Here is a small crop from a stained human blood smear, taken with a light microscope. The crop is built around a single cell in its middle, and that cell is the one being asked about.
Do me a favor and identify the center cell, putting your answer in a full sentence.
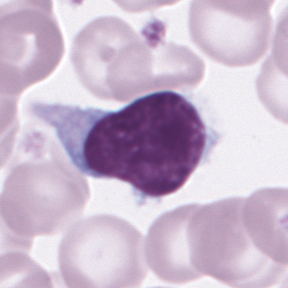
At the center of the crop sits a typical lymphocyte.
